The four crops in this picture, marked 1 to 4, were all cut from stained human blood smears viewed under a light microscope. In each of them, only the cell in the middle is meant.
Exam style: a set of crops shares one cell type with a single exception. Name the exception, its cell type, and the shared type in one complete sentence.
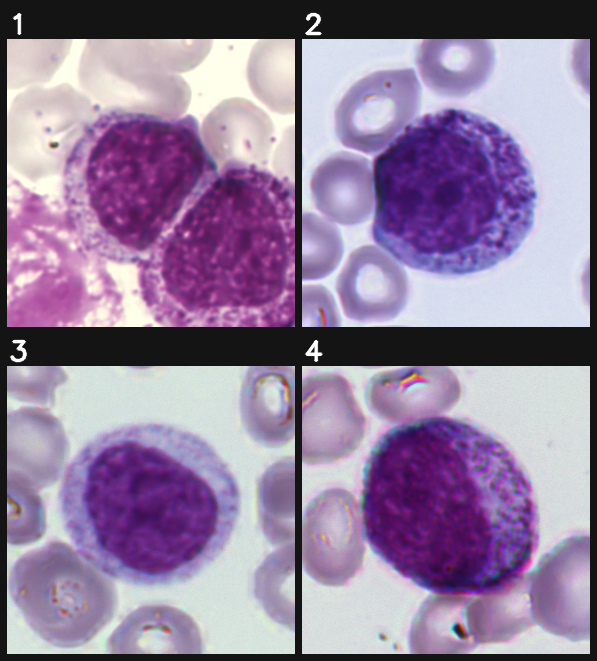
Crop 4 holds a promyelocyte, unlike the remaining crops, all of which hold myelocytes.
